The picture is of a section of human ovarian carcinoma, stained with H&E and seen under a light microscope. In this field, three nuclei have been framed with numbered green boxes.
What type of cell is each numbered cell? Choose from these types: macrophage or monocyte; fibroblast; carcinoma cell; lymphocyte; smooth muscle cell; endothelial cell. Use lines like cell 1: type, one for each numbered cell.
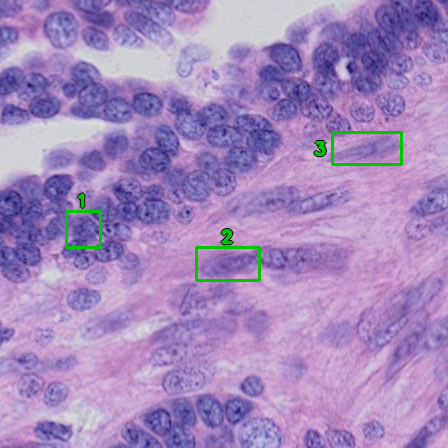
cell 1: carcinoma cell
cell 2: fibroblast
cell 3: fibroblast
